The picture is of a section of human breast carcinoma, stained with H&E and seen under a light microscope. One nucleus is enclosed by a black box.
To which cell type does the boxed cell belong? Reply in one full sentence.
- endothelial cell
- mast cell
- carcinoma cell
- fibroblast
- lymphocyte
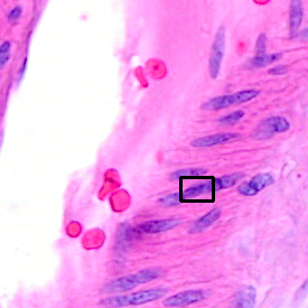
Right, so the boxed cell is an endothelial cell, to answer that.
